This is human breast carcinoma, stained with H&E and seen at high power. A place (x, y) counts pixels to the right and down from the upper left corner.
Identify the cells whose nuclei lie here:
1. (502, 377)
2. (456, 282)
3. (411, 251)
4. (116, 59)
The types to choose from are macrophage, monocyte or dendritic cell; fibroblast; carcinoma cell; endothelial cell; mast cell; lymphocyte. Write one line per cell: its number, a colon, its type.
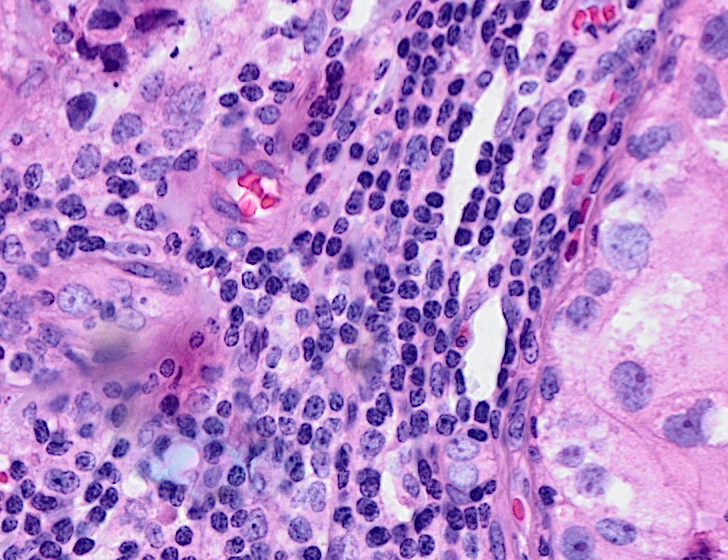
1: lymphocyte
2: lymphocyte
3: lymphocyte
4: carcinoma cell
